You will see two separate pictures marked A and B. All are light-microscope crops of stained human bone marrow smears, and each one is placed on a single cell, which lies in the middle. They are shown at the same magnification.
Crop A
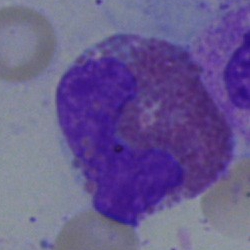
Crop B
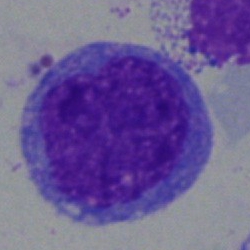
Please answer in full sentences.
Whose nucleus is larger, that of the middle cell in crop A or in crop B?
Crop B shows the larger nucleus; it covers about 1.5 times the area of the nucleus in crop A.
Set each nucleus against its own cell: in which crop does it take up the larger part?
In crop B the nucleus takes up the larger part of its cell.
